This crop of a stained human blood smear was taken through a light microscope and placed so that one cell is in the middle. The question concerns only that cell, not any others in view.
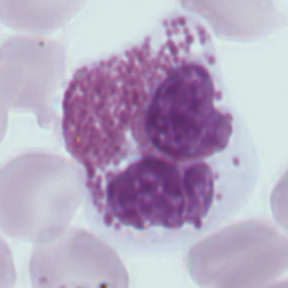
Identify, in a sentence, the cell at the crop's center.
The cell at the heart of this crop is an eosinophil.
